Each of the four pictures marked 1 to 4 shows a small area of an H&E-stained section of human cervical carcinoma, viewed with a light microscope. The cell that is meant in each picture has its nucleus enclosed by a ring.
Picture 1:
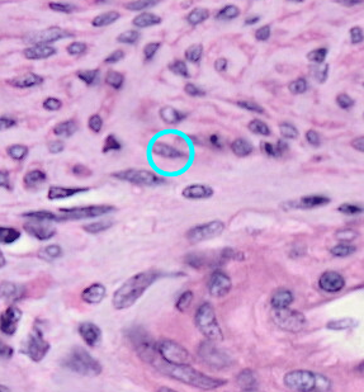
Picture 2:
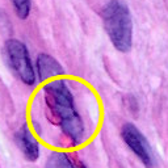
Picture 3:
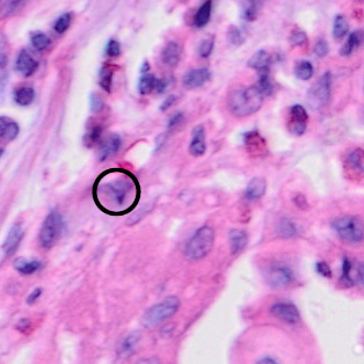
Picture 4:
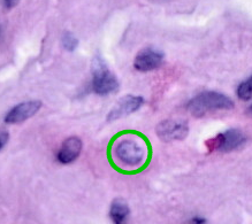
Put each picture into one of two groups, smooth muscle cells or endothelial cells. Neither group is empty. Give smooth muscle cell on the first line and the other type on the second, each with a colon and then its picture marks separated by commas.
smooth muscle cell: 1
endothelial cell: 2, 3, 4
